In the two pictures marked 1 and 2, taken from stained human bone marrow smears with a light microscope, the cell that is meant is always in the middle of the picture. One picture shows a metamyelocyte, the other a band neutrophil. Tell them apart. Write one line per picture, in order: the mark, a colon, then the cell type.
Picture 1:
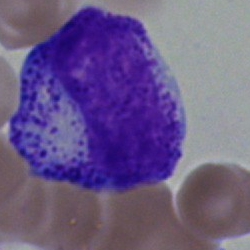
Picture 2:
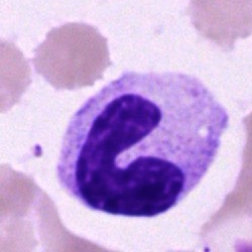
1: metamyelocyte
2: band neutrophil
